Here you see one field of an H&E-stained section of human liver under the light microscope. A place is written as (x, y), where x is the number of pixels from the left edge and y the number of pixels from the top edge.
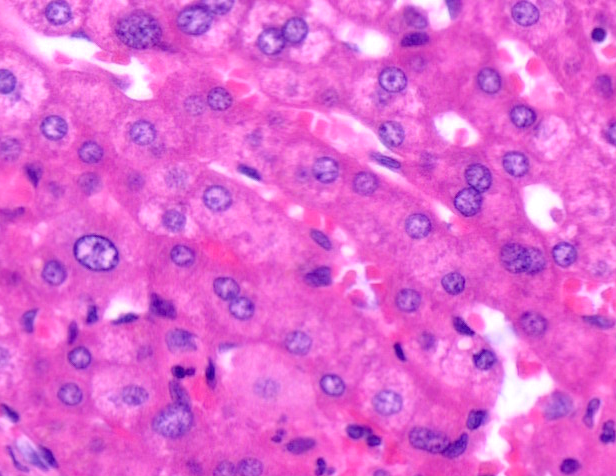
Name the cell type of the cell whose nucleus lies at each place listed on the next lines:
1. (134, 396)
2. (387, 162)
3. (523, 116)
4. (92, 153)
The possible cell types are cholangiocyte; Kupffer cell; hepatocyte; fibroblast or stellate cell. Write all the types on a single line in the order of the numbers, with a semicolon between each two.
hepatocyte; Kupffer cell; hepatocyte; hepatocyte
